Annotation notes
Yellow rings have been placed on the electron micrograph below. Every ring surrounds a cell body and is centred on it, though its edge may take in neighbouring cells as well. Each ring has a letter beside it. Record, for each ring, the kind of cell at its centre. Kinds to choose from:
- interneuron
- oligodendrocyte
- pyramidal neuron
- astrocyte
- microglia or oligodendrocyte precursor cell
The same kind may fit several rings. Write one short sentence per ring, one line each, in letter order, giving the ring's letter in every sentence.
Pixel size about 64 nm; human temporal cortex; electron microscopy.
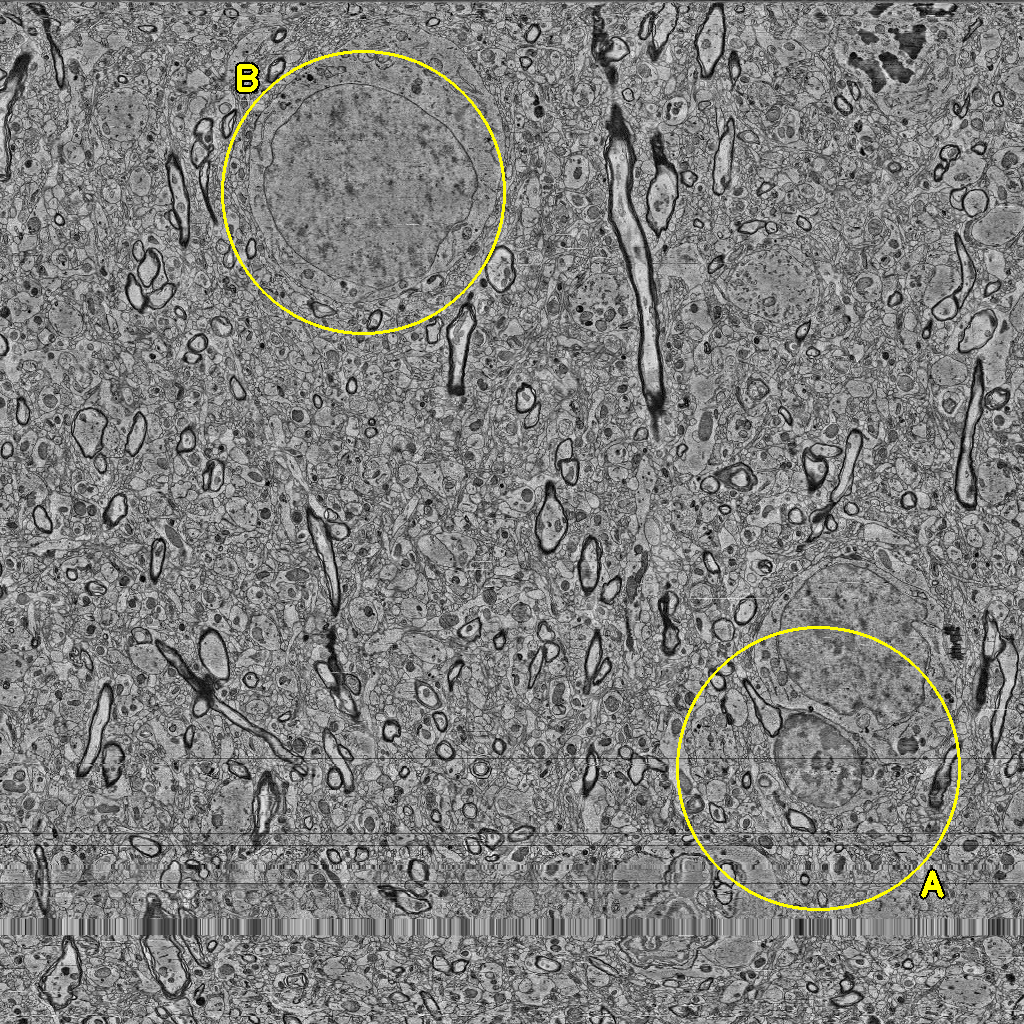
Ring A surrounds an oligodendrocyte.
Ring B surrounds a pyramidal neuron.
